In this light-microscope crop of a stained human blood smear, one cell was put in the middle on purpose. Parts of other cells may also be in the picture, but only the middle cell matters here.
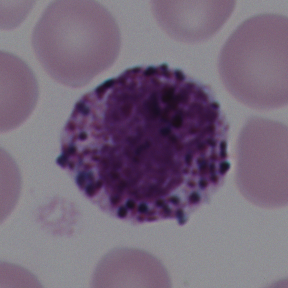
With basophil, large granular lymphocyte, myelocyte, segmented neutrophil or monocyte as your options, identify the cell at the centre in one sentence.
In the centre of this crop there is a basophil.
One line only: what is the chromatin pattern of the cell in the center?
Coarse clumps are absent, and the chromatin is fine throughout.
